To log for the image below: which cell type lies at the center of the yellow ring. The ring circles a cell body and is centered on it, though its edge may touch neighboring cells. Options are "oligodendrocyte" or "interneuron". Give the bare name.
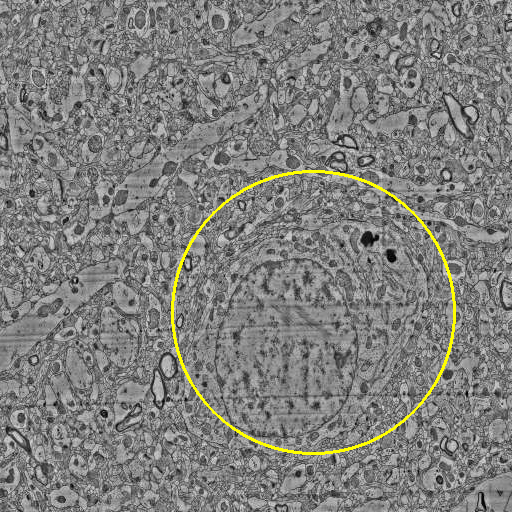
interneuron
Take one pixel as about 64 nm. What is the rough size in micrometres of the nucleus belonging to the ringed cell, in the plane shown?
The nucleus measures about 12 by 9 micrometres in this plane.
